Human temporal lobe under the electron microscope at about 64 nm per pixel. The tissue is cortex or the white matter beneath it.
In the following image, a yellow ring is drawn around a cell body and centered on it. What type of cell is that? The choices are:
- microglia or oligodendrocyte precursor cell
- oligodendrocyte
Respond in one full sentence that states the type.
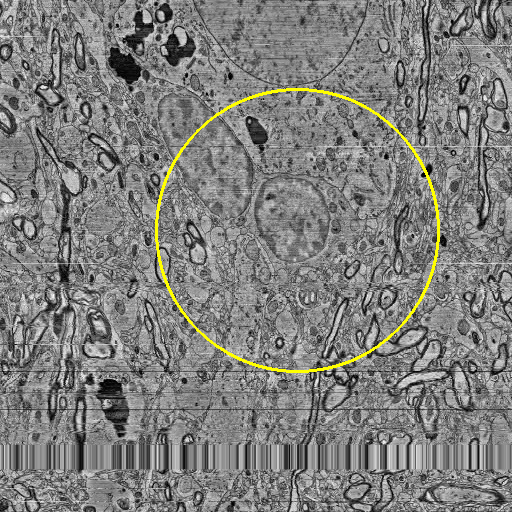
The cell at the center of the yellow ring in the image is an oligodendrocyte.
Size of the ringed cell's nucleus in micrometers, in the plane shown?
About 6 micrometres by about 5 micrometres in this plane.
